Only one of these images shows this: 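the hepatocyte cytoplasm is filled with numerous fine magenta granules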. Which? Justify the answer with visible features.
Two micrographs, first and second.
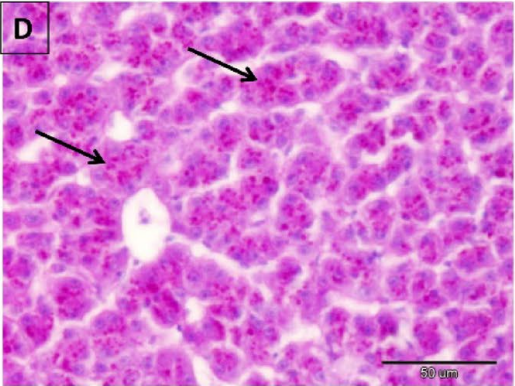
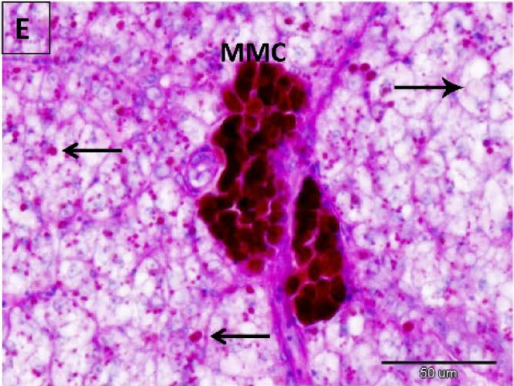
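Second image: hepatocytes are pale and clear with only scattered magenta granules. First image: nearly every hepatocyte is packed with fine magenta granules.
Answer: the first image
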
